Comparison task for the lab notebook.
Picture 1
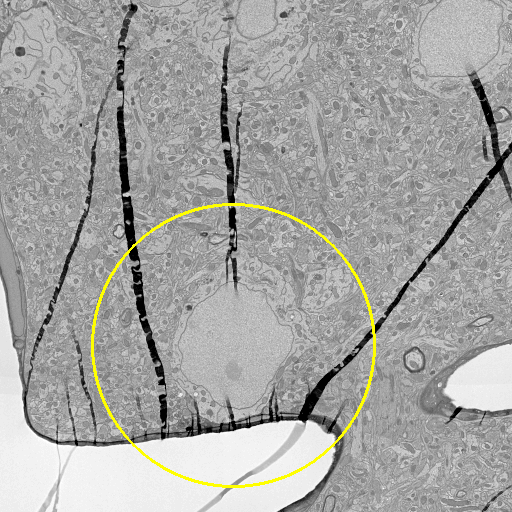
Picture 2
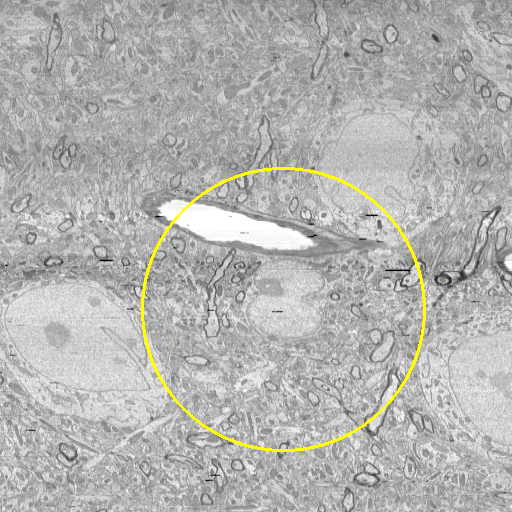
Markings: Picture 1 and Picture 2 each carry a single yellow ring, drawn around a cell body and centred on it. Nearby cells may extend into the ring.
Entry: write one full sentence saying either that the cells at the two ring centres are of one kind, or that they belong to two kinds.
The cells sitting at the ring centres in Picture 1 and Picture 2 belong to two kinds.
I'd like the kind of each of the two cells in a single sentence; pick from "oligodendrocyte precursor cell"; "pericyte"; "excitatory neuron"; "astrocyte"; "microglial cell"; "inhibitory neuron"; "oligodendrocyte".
The first ring marks an excitatory neuron, and the second ring marks an astrocyte.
